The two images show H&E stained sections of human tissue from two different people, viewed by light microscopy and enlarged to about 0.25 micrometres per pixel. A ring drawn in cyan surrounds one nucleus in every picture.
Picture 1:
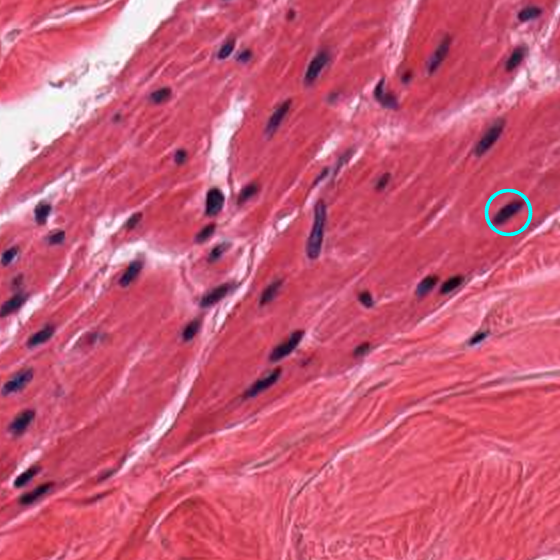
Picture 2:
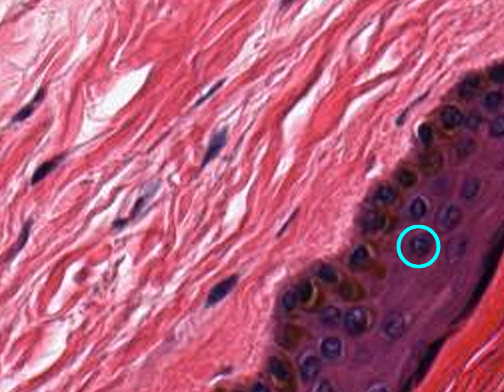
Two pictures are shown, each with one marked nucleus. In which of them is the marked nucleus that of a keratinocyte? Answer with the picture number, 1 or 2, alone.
2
